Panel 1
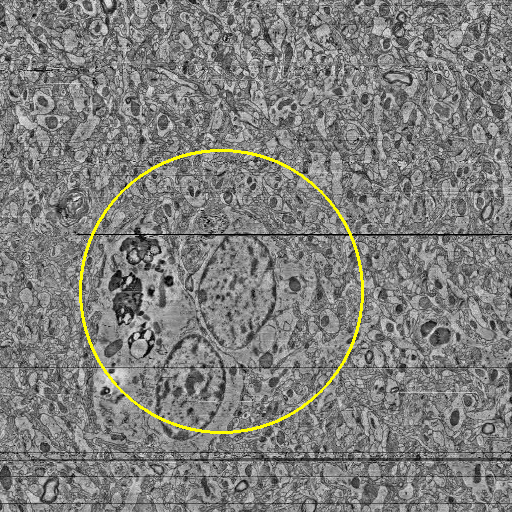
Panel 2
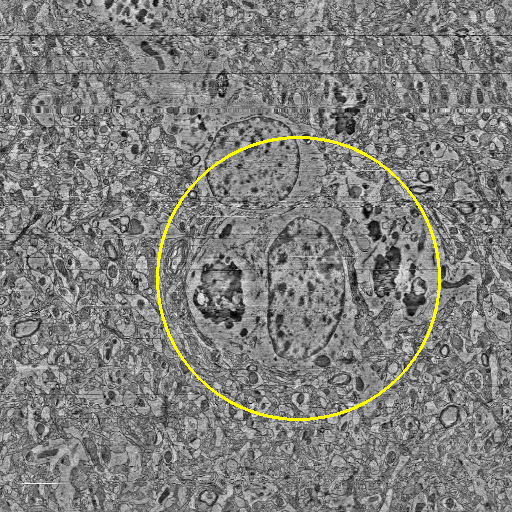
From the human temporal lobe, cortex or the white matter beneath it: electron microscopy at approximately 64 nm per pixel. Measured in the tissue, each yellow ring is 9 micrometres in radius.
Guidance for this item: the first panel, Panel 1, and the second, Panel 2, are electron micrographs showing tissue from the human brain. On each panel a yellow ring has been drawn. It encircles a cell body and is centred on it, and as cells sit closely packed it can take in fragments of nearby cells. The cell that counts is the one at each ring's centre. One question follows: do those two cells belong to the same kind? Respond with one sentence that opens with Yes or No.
Yes, the cells at the ring centres in Panel 1 and Panel 2 are of one kind.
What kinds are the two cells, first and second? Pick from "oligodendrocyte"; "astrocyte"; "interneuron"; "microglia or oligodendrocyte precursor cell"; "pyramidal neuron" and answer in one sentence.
Each one of the two ringed cells is an astrocyte.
